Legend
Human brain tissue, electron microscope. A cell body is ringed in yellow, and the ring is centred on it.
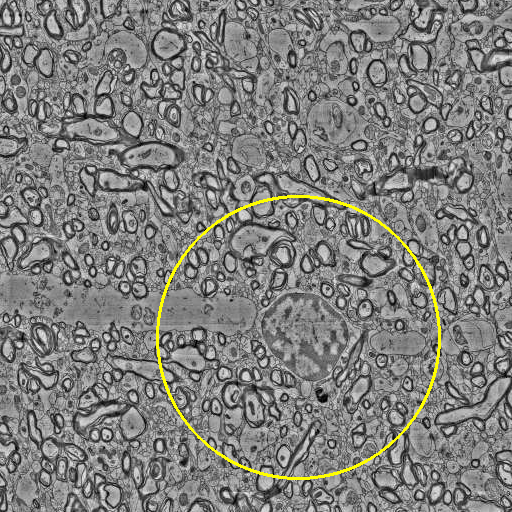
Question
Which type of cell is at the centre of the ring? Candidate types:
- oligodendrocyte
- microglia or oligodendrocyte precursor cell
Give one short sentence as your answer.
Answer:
The yellow ring is centred here on a microglial cell or oligodendrocyte precursor cell.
